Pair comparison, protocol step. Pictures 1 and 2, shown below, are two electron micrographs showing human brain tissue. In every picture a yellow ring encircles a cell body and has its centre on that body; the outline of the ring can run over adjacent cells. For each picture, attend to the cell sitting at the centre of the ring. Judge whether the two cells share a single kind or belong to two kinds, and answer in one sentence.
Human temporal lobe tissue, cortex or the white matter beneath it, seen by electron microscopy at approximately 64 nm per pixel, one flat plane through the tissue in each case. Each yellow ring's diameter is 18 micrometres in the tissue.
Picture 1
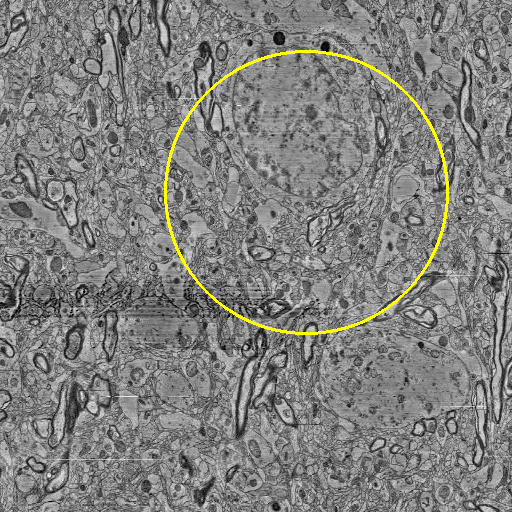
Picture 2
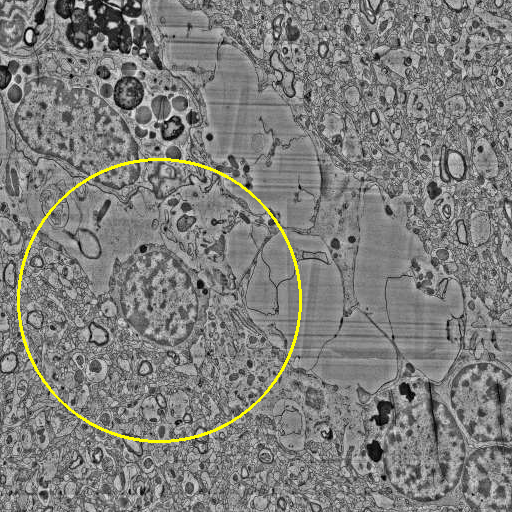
The two cells at the ring centres in Picture 1 and Picture 2 belong to two kinds.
